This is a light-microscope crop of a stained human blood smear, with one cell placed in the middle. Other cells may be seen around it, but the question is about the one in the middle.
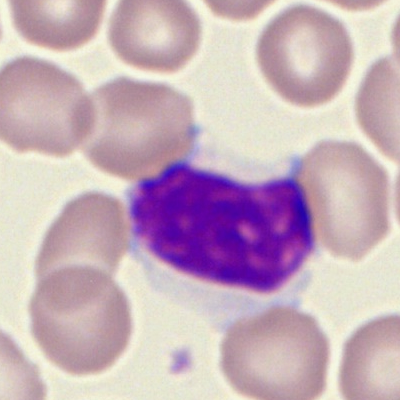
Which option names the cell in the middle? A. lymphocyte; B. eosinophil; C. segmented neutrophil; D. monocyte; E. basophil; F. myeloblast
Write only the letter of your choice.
A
